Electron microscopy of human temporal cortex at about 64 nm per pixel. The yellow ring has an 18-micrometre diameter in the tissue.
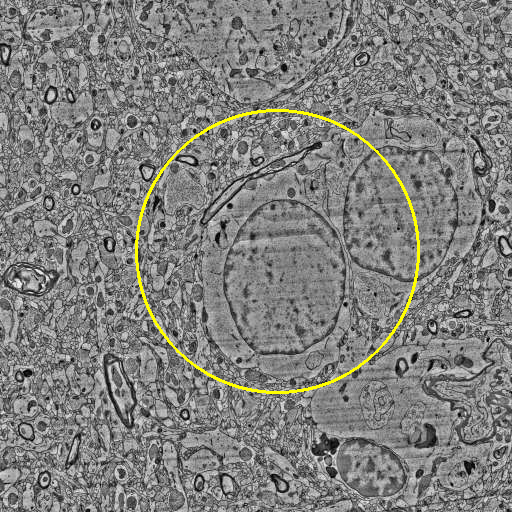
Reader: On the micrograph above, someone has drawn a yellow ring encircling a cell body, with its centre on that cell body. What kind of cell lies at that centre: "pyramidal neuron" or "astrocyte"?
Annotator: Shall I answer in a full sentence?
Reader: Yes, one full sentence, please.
Here an astrocyte sits at the centre of the yellow ring drawn on the micrograph.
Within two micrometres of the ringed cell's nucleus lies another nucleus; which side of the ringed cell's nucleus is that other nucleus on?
The other nucleus is located to the upper right of it.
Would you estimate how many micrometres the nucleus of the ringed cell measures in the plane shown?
Approximately 10 by 8 micrometers in this plane.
